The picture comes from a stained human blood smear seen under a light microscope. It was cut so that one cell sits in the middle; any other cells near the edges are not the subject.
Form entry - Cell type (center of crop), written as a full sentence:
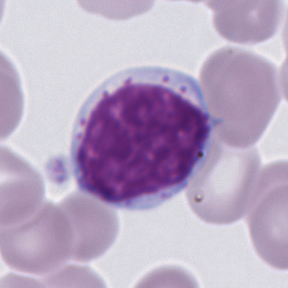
For this crop, the central cell is a large granular lymphocyte.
